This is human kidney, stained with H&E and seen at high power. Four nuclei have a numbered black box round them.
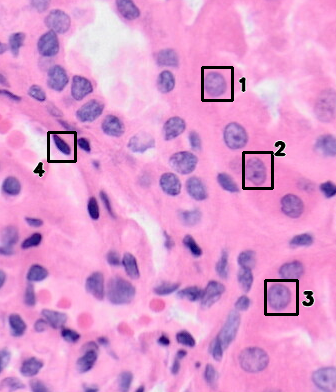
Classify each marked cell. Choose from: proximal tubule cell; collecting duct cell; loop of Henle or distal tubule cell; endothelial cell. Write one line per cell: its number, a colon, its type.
1: proximal tubule cell
2: proximal tubule cell
3: proximal tubule cell
4: endothelial cell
